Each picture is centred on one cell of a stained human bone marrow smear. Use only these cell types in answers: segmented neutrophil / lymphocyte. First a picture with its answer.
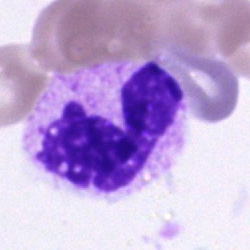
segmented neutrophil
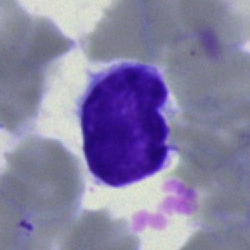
lymphocyte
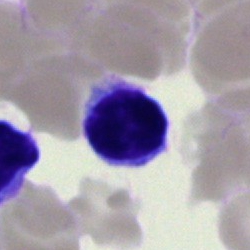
lymphocyte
